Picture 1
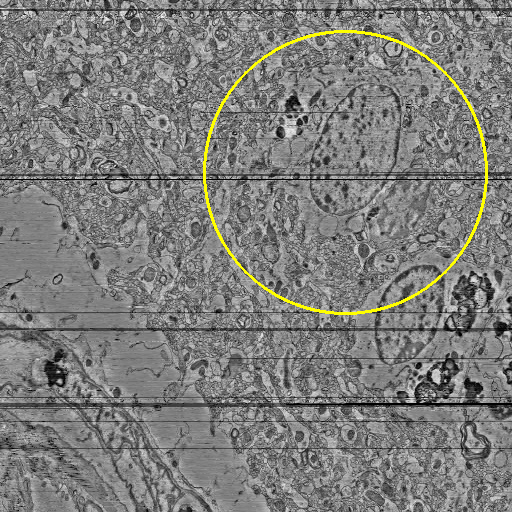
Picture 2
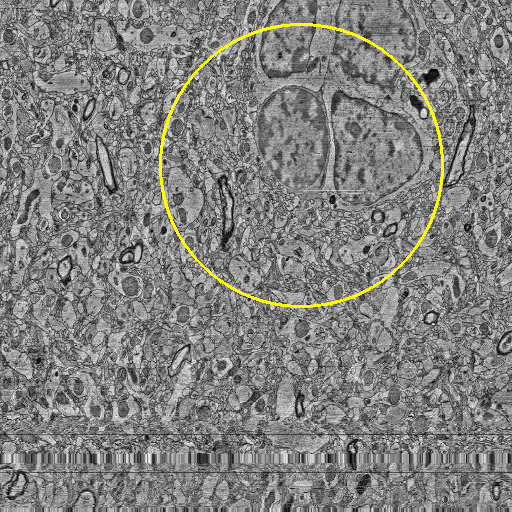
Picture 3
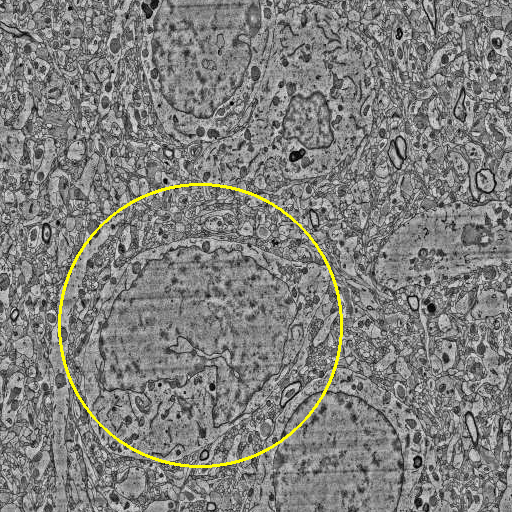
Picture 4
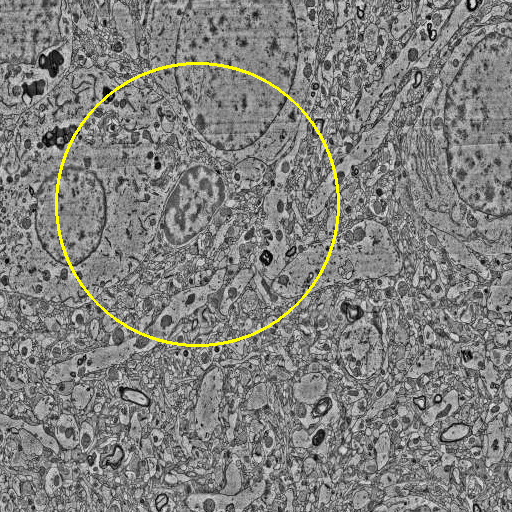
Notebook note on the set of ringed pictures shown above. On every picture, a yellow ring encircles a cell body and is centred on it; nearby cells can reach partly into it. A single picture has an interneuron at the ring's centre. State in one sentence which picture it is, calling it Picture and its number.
Picture 3 is the one whose ring is centred on the sought cell.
